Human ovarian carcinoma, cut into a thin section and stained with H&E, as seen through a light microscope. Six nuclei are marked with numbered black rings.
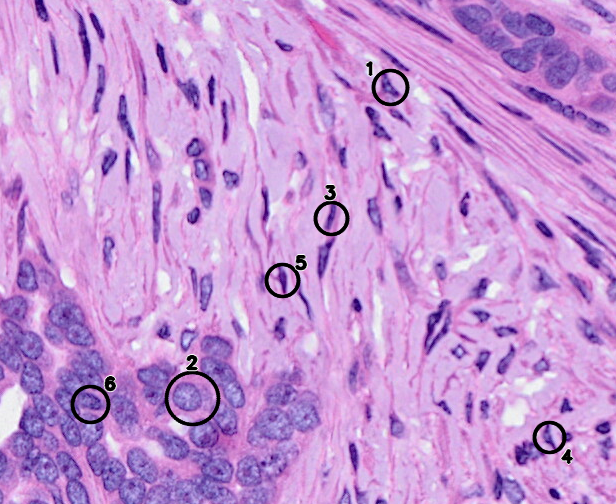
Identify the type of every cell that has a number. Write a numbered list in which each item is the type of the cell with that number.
1. fibroblast
2. carcinoma cell
3. fibroblast
4. fibroblast
5. fibroblast
6. carcinoma cell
